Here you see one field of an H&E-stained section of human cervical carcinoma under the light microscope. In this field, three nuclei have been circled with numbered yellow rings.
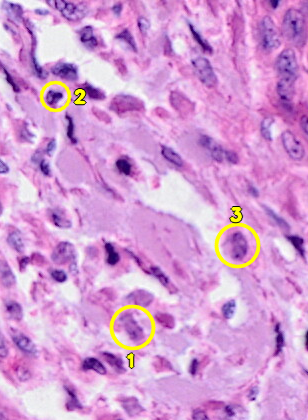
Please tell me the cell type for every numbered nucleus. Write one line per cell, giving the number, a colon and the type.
1: fibroblast
2: lymphocyte
3: macrophage or monocyte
